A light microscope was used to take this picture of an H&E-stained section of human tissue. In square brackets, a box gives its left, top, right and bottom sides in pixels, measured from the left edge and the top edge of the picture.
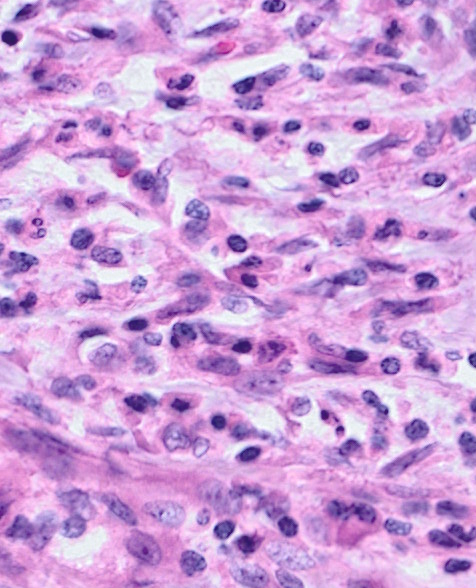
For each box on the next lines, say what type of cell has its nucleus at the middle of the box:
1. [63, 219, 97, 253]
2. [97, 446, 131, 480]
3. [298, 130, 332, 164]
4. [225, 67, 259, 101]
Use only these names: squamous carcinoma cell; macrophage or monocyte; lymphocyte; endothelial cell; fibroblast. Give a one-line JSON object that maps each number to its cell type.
{"1": "lymphocyte", "2": "fibroblast", "3": "lymphocyte", "4": "lymphocyte"}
